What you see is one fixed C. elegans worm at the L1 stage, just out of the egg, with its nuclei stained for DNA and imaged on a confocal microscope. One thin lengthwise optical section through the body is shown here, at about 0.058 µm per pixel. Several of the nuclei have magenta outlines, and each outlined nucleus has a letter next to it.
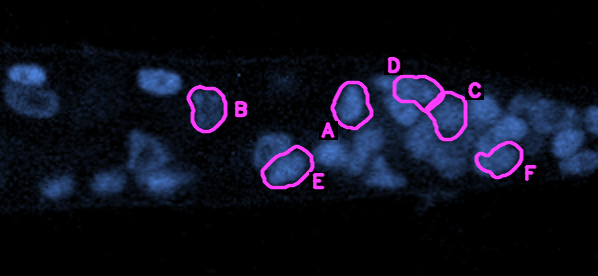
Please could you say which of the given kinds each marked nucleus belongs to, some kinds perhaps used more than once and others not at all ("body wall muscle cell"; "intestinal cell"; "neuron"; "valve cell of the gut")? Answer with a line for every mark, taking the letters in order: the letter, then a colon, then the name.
A: valve cell of the gut
B: intestinal cell
C: neuron
D: body wall muscle cell
E: neuron
F: body wall muscle cell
